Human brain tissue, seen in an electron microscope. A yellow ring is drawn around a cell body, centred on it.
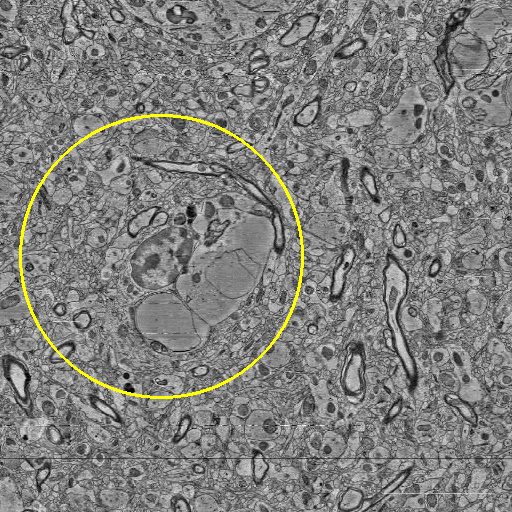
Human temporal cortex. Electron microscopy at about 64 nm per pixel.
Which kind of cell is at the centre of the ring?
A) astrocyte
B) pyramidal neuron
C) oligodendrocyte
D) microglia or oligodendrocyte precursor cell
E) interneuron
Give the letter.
D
